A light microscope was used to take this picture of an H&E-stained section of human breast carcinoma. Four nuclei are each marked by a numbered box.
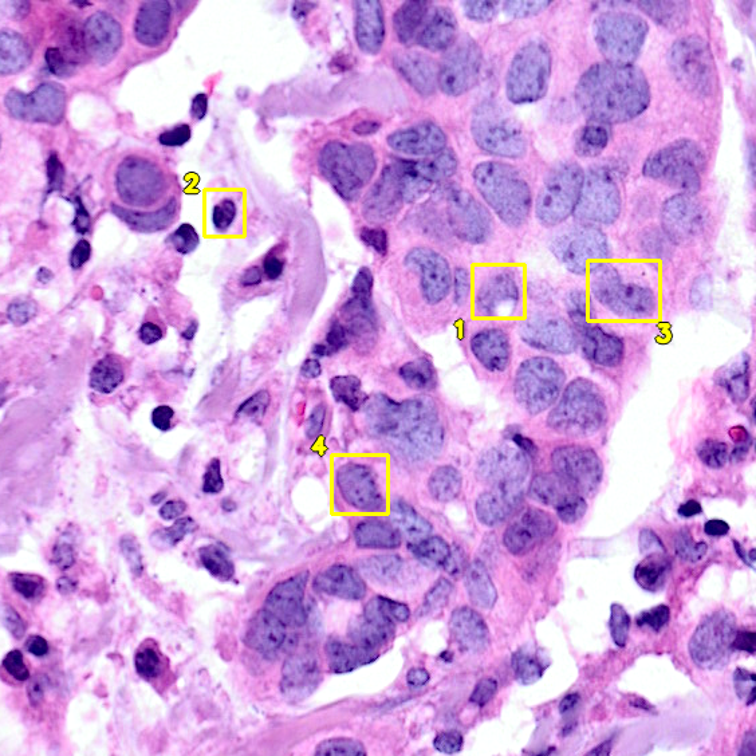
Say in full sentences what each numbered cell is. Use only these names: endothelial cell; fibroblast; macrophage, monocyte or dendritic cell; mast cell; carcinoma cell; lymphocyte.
Cells 1, 3 and 4 are carcinoma cells. Cell 2 is a lymphocyte.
